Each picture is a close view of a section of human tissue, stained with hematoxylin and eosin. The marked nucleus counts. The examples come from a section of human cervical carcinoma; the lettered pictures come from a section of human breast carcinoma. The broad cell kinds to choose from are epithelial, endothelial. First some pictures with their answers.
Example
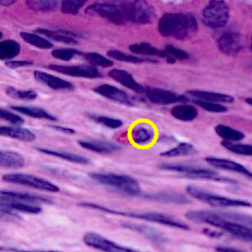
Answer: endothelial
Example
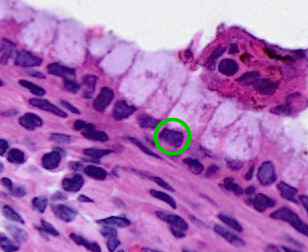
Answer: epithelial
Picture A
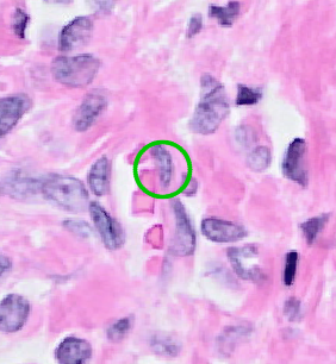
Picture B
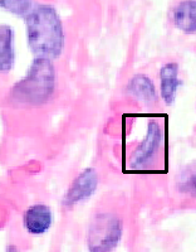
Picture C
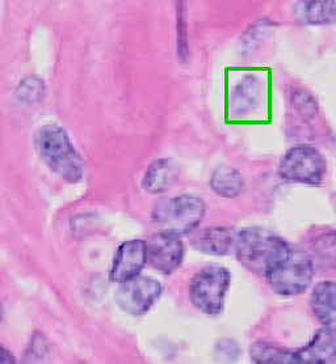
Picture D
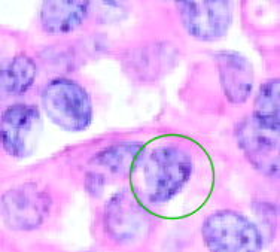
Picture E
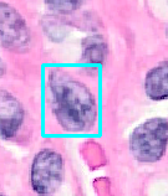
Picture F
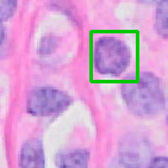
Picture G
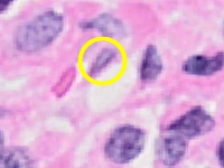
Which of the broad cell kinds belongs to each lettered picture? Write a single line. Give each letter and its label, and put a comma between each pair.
A endothelial, B endothelial, C epithelial, D epithelial, E endothelial, F epithelial, G endothelial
